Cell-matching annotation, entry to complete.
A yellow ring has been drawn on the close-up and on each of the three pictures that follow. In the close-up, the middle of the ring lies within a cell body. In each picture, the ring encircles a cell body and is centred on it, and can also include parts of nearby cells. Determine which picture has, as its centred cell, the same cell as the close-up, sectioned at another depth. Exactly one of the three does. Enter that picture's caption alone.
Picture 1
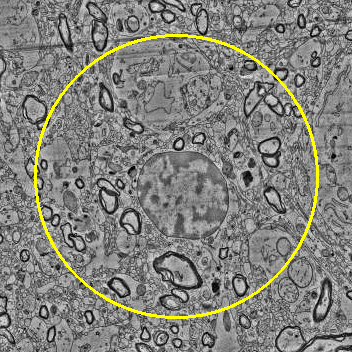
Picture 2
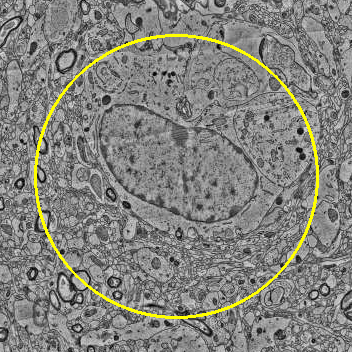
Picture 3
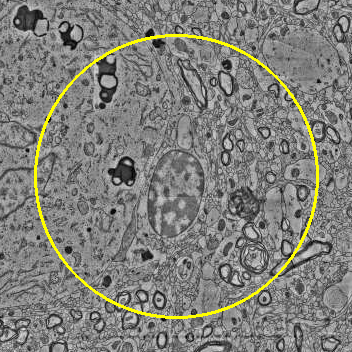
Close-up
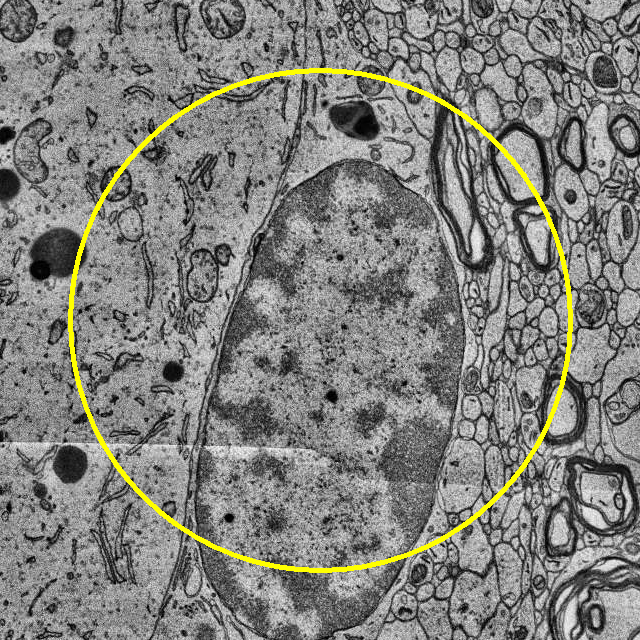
Picture 3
